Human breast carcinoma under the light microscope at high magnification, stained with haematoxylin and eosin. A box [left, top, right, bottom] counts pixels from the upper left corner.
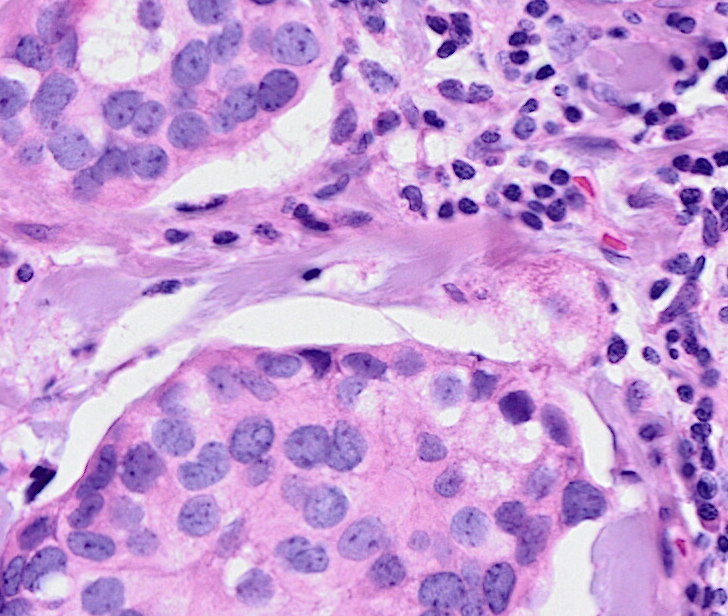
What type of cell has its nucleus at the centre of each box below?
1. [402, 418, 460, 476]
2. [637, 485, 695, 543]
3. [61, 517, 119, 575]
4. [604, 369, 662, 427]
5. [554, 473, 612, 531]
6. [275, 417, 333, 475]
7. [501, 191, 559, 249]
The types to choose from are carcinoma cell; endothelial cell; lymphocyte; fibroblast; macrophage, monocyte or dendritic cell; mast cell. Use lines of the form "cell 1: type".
cell 1: carcinoma cell
cell 2: endothelial cell
cell 3: carcinoma cell
cell 4: macrophage, monocyte or dendritic cell
cell 5: carcinoma cell
cell 6: carcinoma cell
cell 7: lymphocyte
